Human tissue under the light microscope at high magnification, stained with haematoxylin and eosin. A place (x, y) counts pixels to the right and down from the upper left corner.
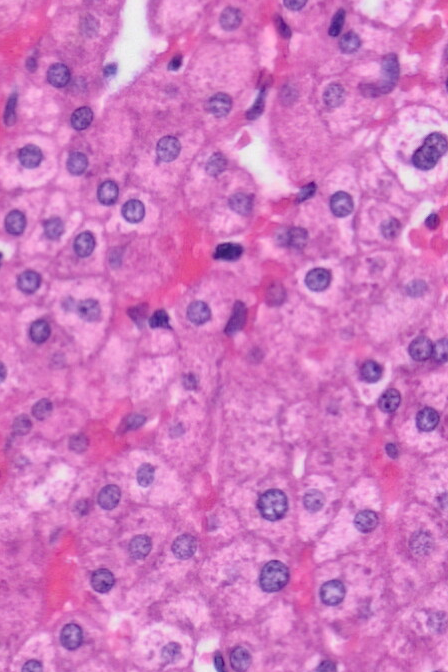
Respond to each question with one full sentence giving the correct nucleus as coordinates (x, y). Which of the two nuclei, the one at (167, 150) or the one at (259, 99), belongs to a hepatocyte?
Of the two, the nucleus at (167, 150) is the one contained in a hepatocyte.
